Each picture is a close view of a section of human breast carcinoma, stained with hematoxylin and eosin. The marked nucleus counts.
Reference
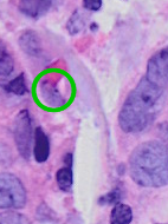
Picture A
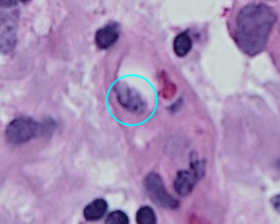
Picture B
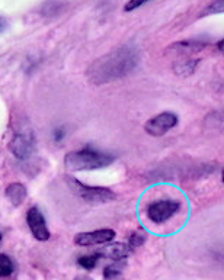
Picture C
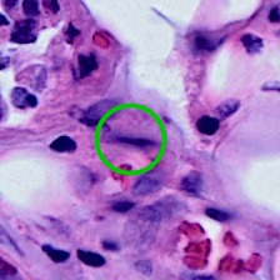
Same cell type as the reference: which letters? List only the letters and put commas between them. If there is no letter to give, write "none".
A, C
